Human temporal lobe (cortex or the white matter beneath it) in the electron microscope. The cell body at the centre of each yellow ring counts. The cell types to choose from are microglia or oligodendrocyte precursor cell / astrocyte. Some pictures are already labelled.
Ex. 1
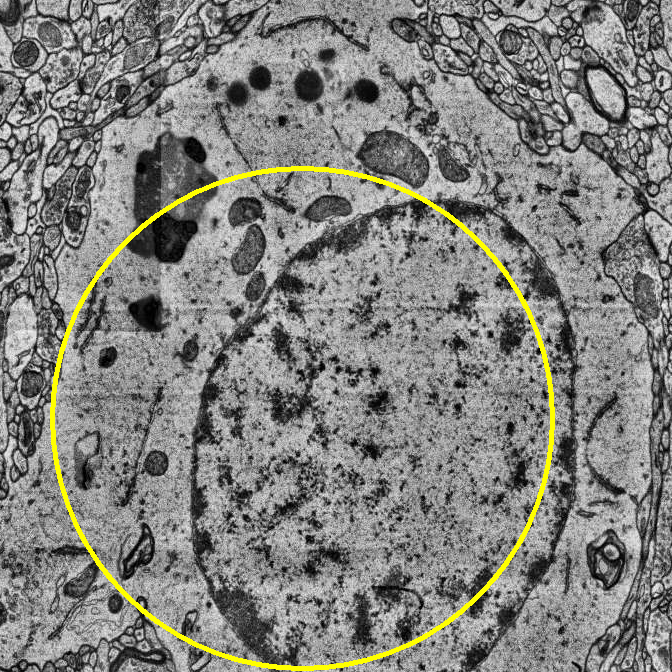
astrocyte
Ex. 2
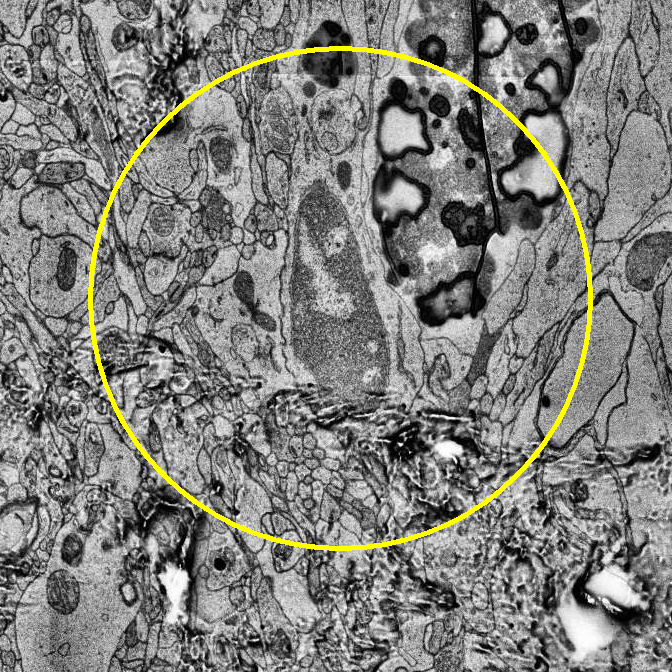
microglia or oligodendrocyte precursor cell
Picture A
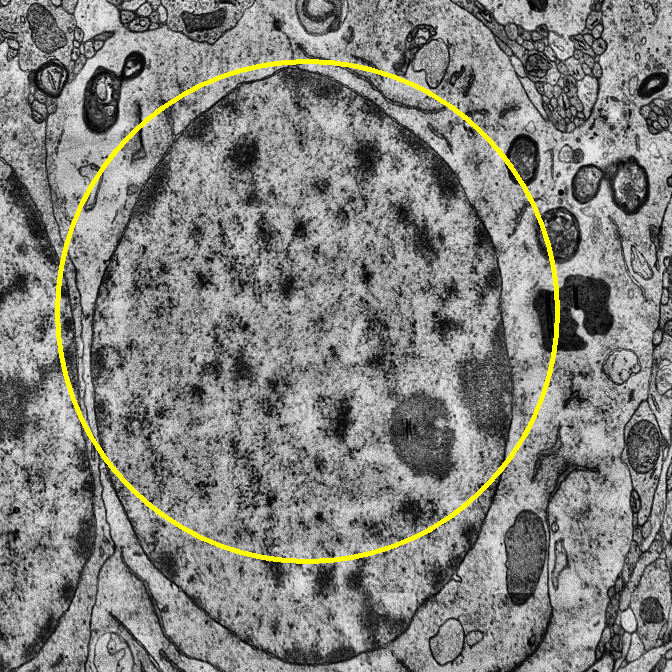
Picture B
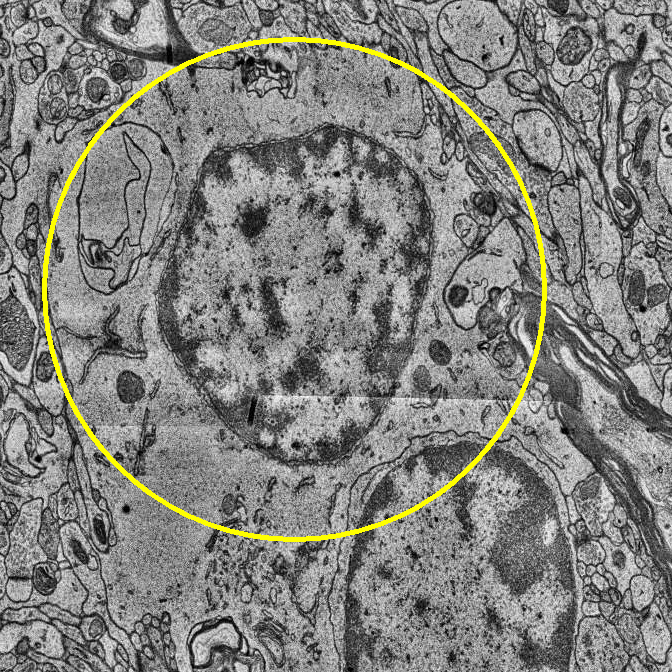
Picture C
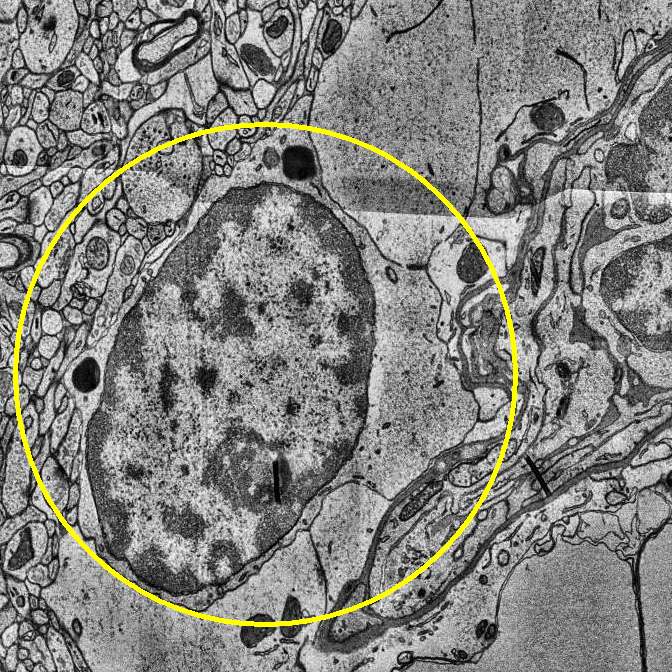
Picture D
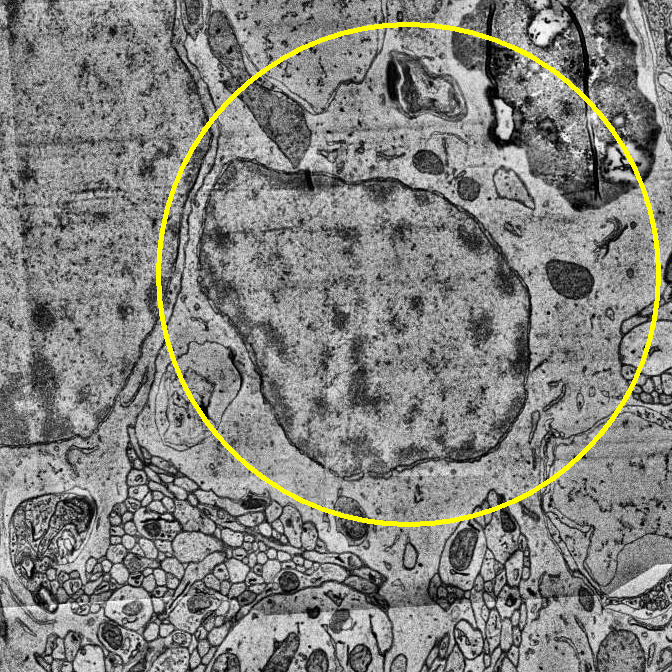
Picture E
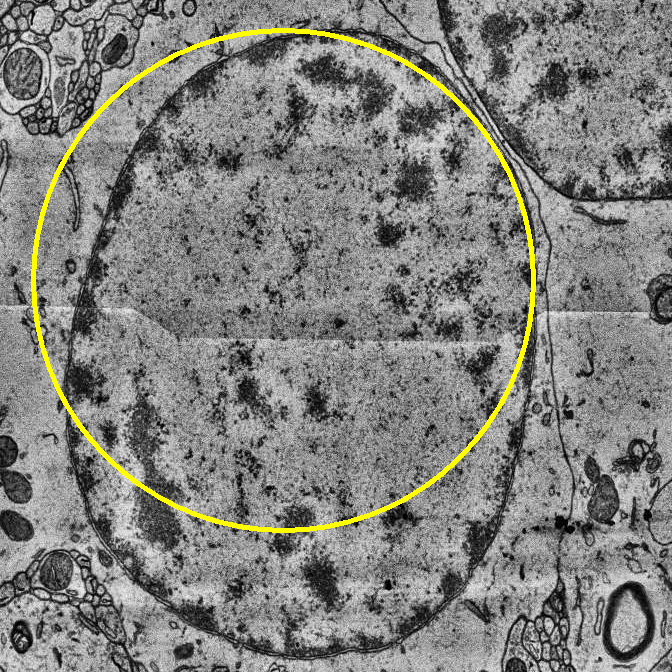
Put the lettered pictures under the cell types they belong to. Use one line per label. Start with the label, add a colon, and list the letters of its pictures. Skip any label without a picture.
microglia or oligodendrocyte precursor cell: C
astrocyte: A, B, D, E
